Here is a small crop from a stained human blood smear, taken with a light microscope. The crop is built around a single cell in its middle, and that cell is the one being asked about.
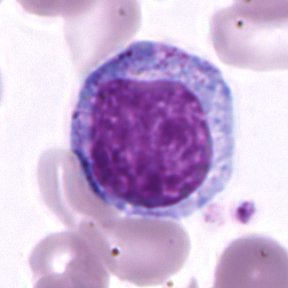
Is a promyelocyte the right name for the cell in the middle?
yes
